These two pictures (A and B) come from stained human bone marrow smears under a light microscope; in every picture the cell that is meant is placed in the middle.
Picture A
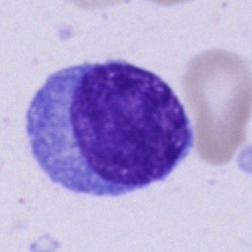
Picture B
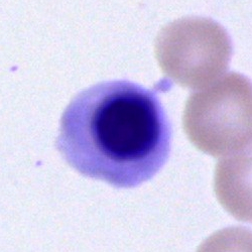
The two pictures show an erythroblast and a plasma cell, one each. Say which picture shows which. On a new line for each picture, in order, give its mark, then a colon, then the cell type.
A: plasma cell
B: erythroblast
